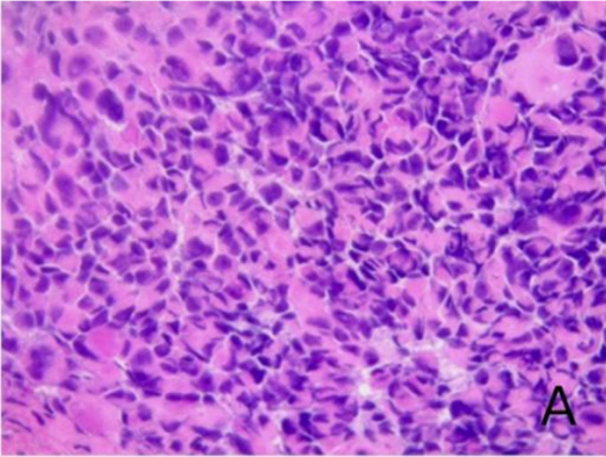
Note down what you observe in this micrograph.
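A hypercellular tumor made of sheets of large epithelioid cells fills the field. The cells are polygonal and tightly packed, with large, dark purple, angular nuclei that crowd against one another. Between them lie areas of pink cytoplasm, with little stroma.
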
